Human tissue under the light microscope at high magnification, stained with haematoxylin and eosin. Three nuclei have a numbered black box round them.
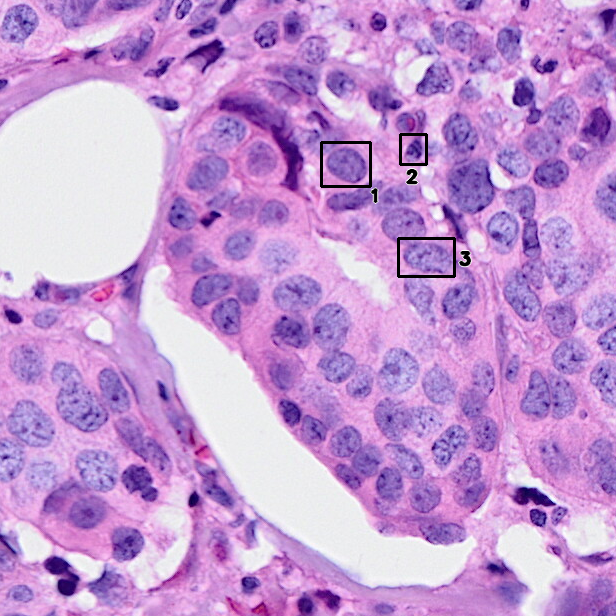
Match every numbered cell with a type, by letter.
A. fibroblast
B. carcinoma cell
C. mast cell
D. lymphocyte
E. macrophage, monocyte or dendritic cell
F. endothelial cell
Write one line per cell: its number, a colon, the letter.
1: B
2: D
3: B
